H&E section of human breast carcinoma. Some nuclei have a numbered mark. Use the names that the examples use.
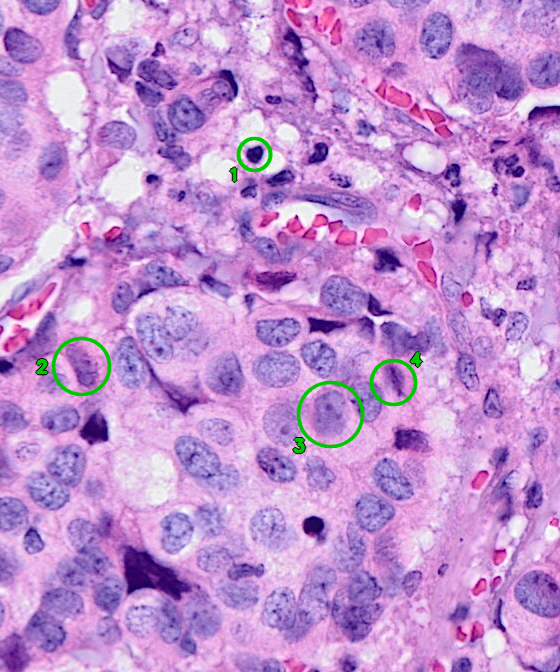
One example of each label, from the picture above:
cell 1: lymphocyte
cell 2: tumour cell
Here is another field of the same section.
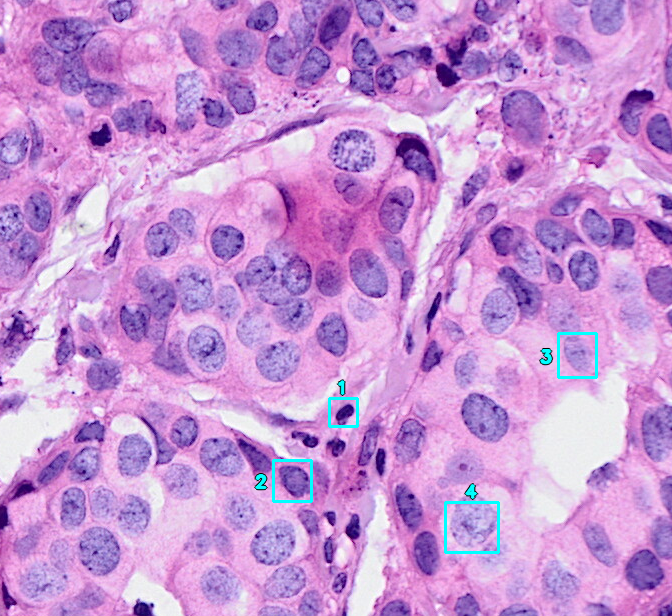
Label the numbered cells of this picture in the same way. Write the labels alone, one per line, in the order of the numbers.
lymphocyte
tumour cell
tumour cell
tumour cell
